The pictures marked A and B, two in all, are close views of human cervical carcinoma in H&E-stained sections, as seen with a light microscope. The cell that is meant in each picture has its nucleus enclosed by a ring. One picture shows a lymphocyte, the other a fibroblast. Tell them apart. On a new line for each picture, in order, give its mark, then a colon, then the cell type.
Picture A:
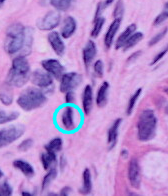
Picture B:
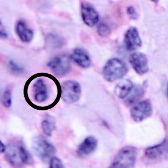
A: fibroblast
B: lymphocyte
